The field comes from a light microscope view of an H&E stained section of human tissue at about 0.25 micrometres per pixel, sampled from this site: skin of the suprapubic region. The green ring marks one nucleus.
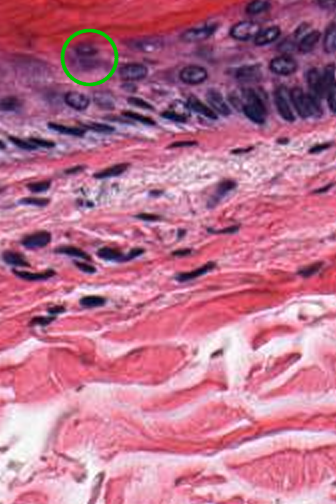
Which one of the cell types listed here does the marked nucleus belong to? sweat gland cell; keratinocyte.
keratinocyte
